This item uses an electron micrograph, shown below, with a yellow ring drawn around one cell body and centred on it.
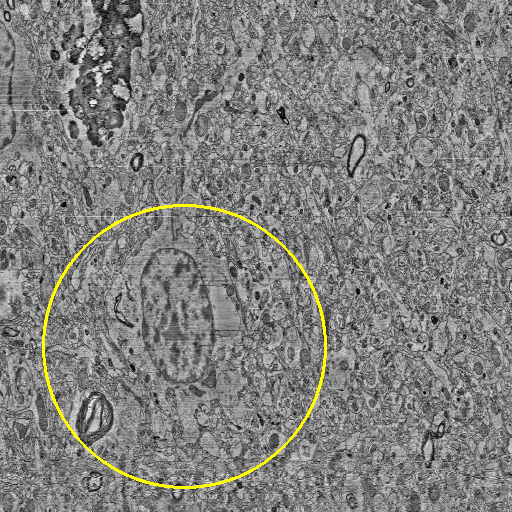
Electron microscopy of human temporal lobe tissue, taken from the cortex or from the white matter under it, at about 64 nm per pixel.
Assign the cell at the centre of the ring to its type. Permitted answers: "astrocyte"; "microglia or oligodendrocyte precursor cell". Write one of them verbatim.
astrocyte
